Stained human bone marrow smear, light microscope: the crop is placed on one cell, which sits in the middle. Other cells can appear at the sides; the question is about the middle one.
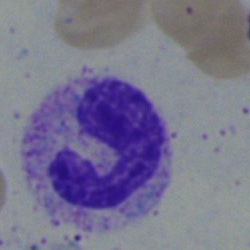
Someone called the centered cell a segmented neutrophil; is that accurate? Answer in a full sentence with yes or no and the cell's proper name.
No, in this crop the middle cell is a band neutrophil, not a segmented neutrophil.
